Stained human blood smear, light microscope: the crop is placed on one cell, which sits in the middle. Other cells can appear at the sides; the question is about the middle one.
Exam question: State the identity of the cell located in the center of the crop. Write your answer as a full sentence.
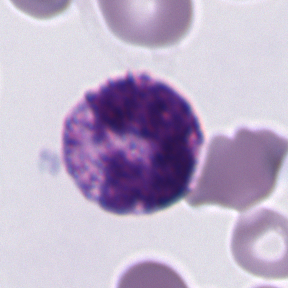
The cell of interest, in the center, is a basophil.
